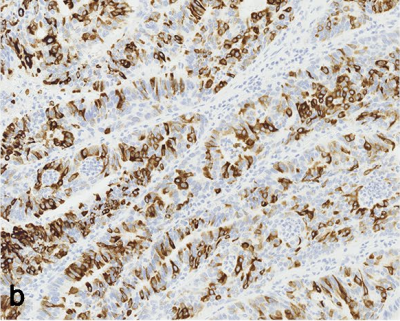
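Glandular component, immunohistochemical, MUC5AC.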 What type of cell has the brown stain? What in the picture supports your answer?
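Tumor cells. Brown cytoplasmic stain lies within the epithelial cells of the glands. The stroma between glands is unstained.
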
